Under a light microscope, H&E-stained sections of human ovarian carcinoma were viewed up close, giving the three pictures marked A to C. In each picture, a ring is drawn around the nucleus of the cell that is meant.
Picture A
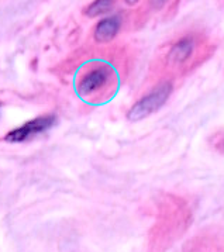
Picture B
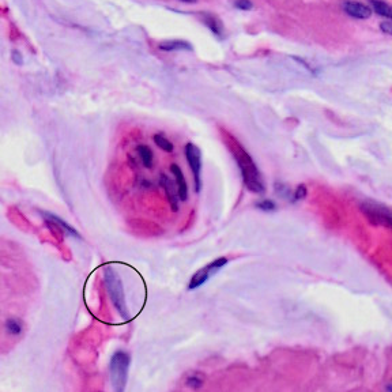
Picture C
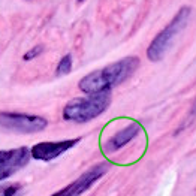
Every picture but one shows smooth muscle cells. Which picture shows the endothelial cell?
B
